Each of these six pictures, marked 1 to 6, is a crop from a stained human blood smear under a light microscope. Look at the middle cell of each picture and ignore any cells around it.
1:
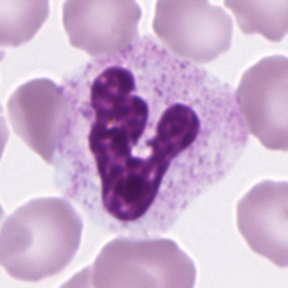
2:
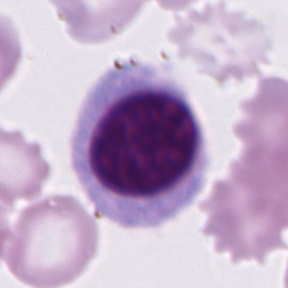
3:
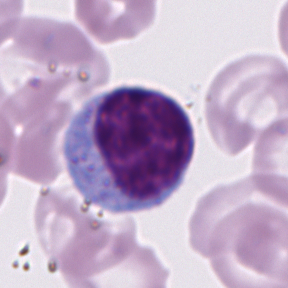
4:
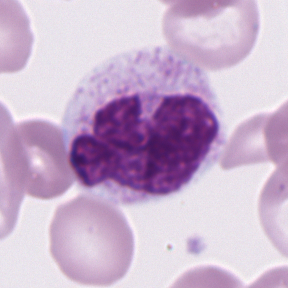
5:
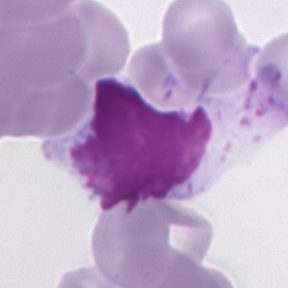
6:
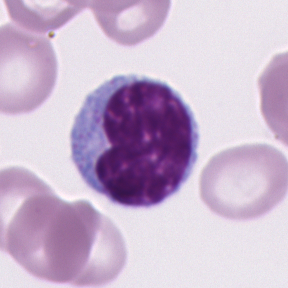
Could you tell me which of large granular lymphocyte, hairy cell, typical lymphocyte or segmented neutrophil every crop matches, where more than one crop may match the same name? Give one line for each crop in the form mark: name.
1: segmented neutrophil
2: hairy cell
3: typical lymphocyte
4: segmented neutrophil
5: large granular lymphocyte
6: typical lymphocyte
